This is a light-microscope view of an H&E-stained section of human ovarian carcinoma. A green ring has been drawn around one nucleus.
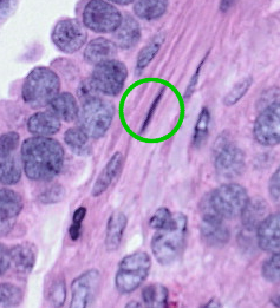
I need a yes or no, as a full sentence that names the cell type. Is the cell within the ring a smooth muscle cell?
No, it is a fibroblast that the cell within the ring is, rather than a smooth muscle cell.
